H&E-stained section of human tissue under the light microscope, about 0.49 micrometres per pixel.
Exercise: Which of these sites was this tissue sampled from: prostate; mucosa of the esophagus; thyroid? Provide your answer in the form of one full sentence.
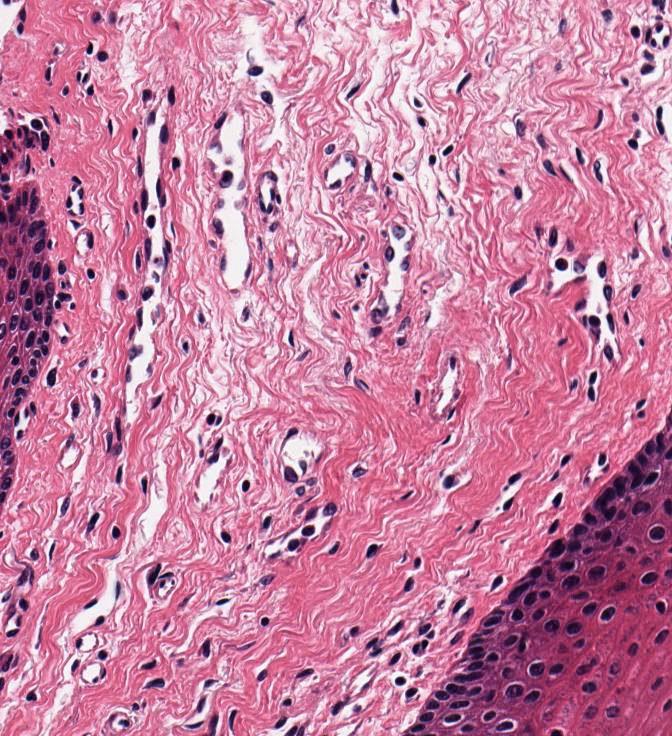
This tissue sample was collected from the mucosa of the esophagus.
